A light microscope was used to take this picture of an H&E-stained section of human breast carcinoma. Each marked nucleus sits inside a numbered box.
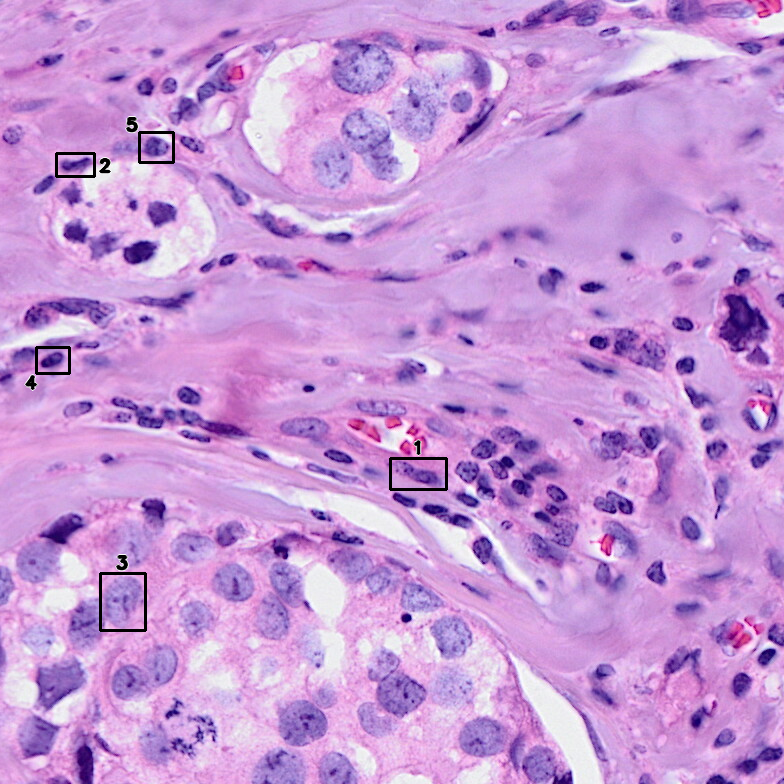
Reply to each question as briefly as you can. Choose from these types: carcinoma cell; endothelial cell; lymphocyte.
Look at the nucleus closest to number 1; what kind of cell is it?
lymphocyte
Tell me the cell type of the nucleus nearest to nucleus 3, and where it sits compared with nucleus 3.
a carcinoma cell below and to the left of nucleus 3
